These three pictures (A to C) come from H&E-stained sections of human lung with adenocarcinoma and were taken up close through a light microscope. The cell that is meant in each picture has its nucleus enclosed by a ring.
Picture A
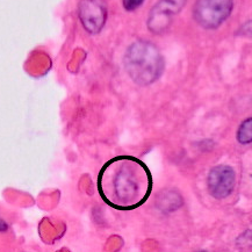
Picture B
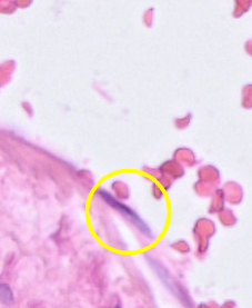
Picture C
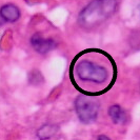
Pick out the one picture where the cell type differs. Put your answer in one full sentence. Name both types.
Picture B is the odd one out: it shows an endothelial cell, while the others show “macrophages or monocytes”.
